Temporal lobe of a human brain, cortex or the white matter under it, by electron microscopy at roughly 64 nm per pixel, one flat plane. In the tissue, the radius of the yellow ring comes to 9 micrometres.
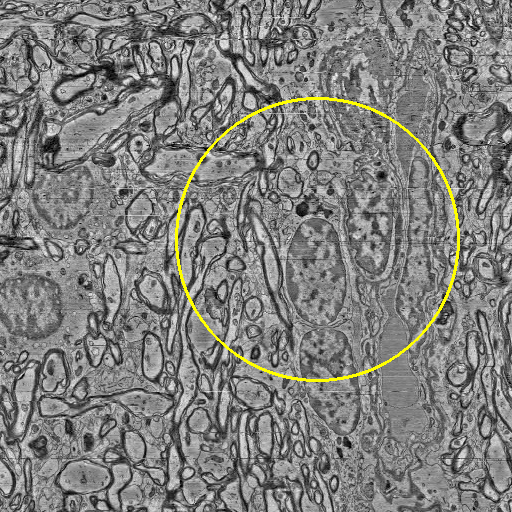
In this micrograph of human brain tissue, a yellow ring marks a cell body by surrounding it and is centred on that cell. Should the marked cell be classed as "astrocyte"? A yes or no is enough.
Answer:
no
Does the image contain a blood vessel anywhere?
Yes, a vessel shows somewhere in the image.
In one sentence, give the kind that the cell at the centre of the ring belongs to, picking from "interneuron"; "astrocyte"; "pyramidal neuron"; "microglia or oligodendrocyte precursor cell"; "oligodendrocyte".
So the cell at the centre is a microglial cell or oligodendrocyte precursor cell.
